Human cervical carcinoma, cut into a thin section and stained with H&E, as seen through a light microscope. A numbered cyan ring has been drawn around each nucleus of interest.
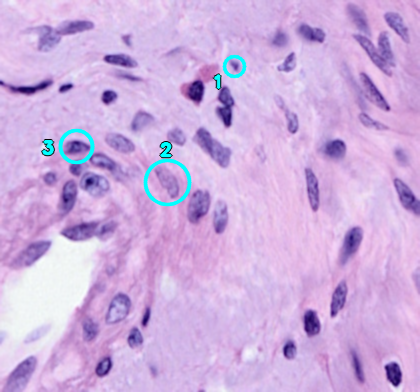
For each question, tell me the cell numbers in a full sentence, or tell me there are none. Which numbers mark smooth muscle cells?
The cells that the numbers 2 and 3 belong to are smooth muscle cells.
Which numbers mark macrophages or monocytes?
By cell type, the numbered cells include no macrophages or monocytes.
